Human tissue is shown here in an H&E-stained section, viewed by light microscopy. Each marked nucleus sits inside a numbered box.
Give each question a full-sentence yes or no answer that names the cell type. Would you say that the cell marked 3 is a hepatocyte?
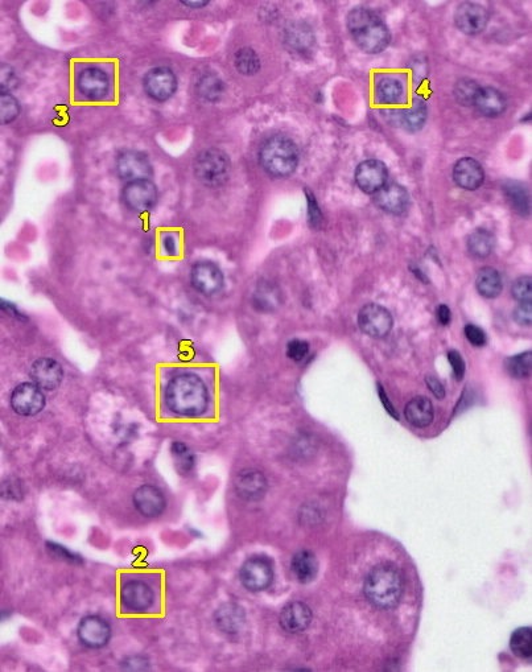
Yes, the cell at number 3 is a hepatocyte.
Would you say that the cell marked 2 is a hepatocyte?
Yes, the numbered nucleus 2 is that of a hepatocyte.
